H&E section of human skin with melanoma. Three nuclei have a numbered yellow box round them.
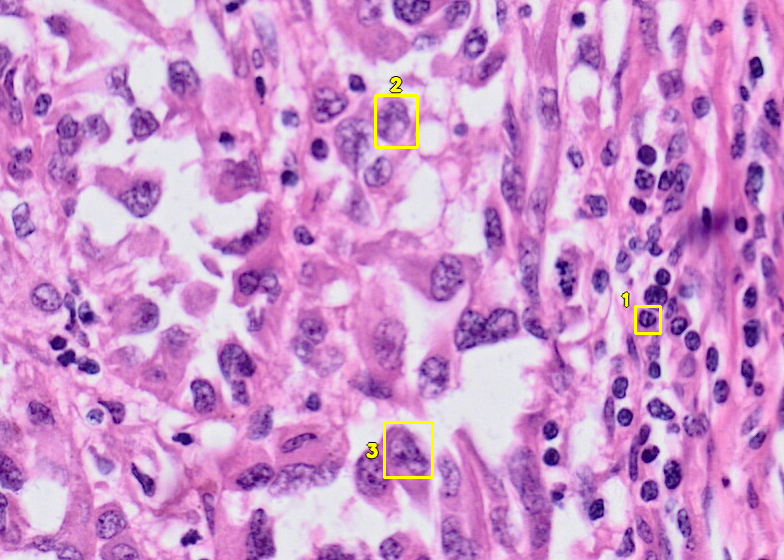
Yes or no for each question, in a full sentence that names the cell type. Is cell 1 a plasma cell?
Yes. The cell carrying number 1 is a plasma cell.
